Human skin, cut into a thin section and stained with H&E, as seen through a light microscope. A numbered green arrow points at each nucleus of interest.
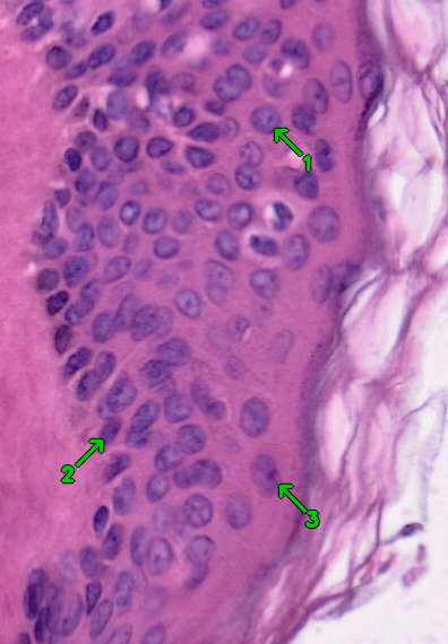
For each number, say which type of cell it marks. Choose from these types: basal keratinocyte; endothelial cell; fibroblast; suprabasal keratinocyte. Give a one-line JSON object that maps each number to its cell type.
{"1": "suprabasal keratinocyte", "2": "basal keratinocyte", "3": "suprabasal keratinocyte"}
